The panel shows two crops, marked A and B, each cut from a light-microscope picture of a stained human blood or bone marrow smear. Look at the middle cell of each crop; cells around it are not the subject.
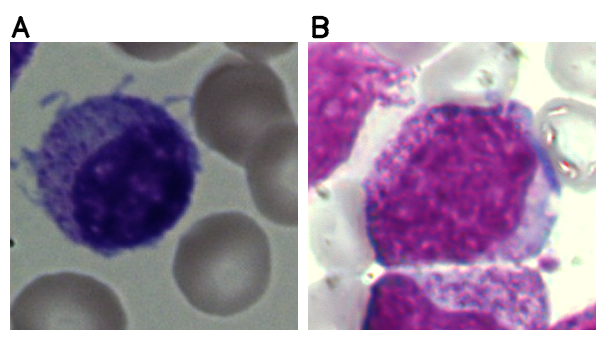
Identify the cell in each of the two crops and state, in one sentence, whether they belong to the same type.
No, a myelocyte is shown in crop A and a promyelocyte in crop B.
